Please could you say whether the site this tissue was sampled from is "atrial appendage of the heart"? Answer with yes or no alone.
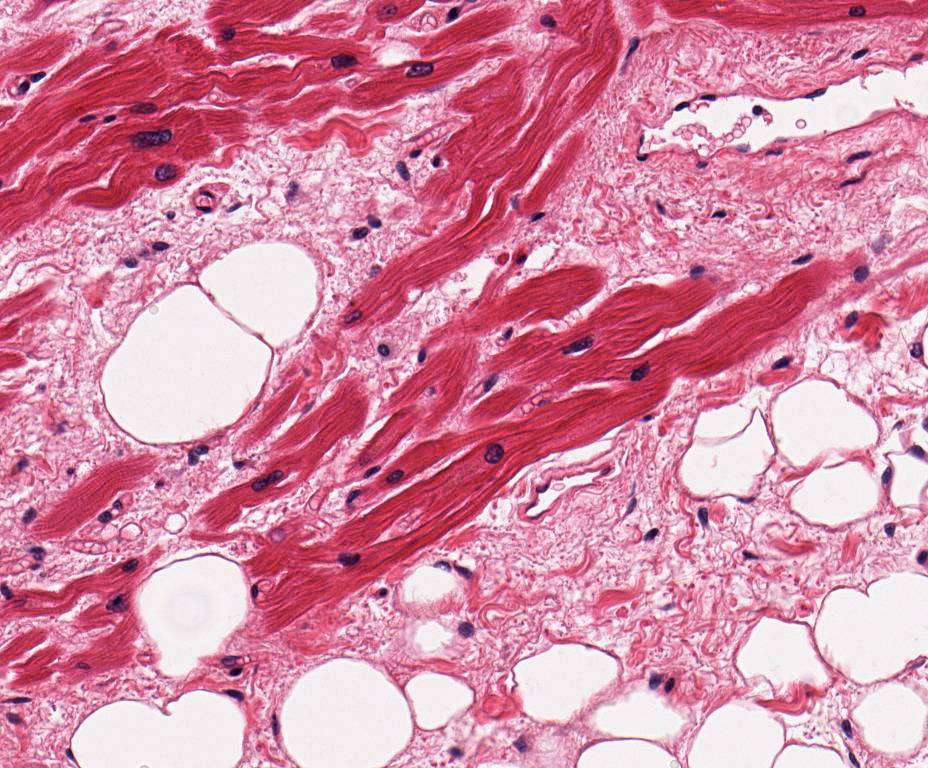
yes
